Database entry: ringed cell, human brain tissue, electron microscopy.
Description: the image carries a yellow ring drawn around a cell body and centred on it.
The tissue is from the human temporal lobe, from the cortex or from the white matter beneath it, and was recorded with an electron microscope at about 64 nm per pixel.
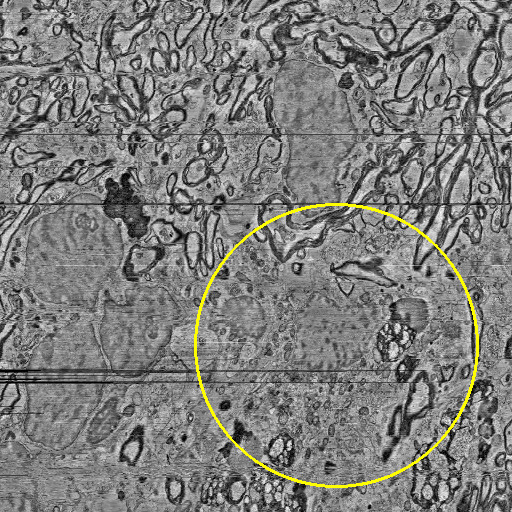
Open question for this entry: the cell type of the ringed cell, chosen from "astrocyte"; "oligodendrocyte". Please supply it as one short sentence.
The ringed cell is an astrocyte.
